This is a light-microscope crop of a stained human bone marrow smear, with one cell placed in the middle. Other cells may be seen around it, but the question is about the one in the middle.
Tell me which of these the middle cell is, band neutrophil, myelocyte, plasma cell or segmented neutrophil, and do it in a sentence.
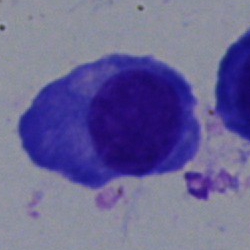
Where the crop is centred, there is a plasma cell.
